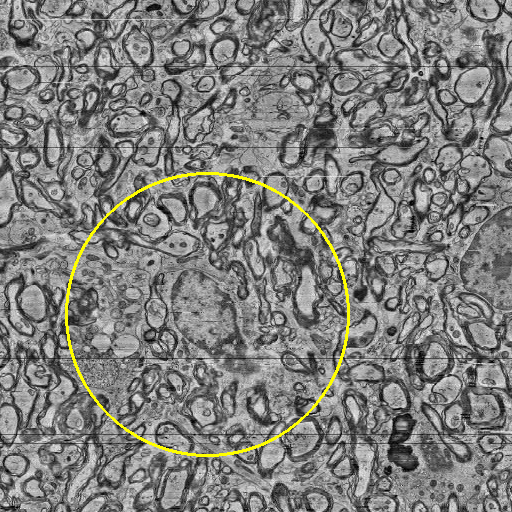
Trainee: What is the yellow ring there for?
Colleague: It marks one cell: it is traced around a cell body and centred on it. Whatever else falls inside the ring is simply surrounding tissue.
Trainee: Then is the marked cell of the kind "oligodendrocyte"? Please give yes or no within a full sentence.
No, the marked cell at the centre of the yellow ring is of a different kind.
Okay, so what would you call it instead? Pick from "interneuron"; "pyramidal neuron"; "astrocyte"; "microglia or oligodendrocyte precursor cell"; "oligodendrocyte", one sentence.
The cell at the middle of the ring is a microglial cell or oligodendrocyte precursor cell.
